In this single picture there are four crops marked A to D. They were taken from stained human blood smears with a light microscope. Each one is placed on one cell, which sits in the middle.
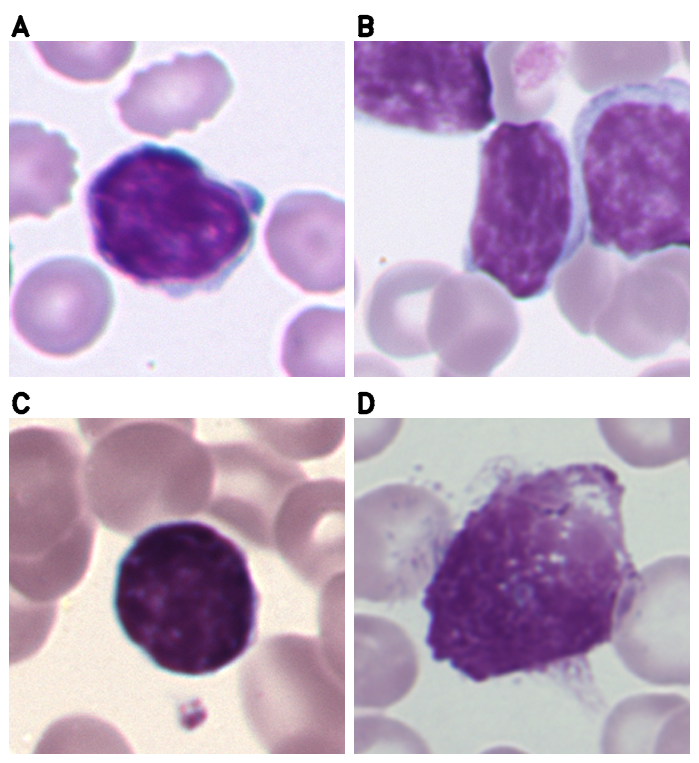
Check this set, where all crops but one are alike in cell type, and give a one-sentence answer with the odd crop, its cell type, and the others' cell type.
Crop D differs from the others in showing a smudge cell; the rest all show typical lymphocytes.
